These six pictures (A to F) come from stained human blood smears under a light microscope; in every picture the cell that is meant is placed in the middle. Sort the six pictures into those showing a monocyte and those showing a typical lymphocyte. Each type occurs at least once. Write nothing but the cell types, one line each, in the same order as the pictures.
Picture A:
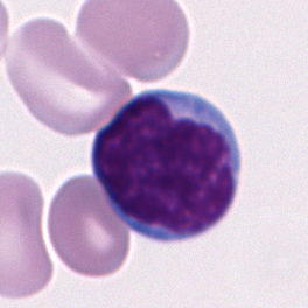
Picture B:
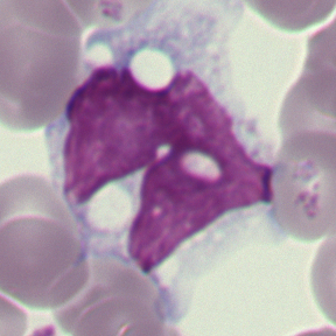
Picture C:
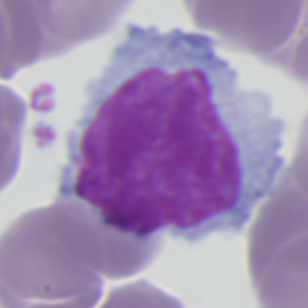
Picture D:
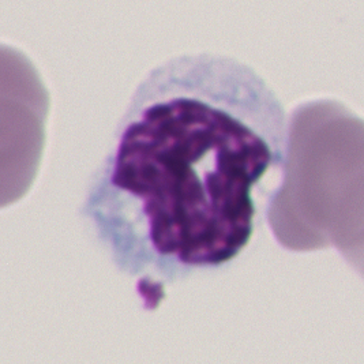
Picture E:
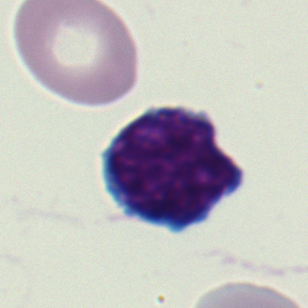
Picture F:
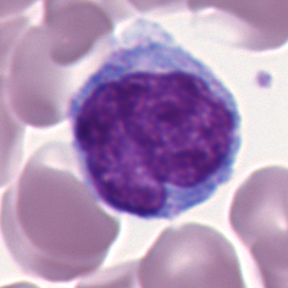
typical lymphocyte
monocyte
monocyte
monocyte
typical lymphocyte
monocyte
